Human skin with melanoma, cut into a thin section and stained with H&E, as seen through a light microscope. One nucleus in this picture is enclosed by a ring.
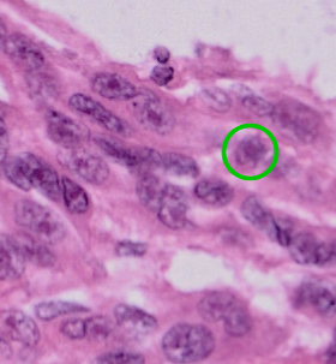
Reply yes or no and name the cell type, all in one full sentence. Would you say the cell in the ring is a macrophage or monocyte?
No, the cell in the ring is classed as a melanoma cell, not as a macrophage or monocyte.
